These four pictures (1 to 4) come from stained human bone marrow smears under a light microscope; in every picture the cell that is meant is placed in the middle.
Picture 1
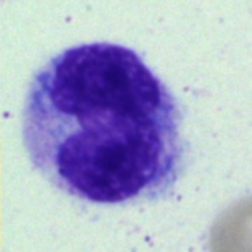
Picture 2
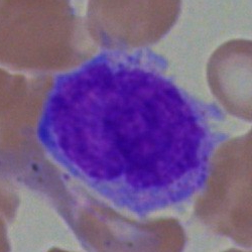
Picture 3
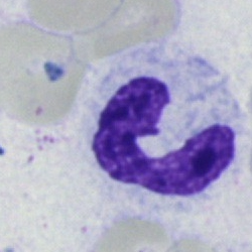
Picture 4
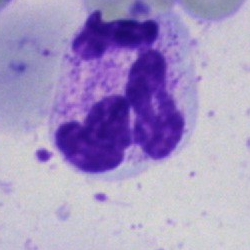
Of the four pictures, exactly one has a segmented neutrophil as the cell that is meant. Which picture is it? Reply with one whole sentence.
The picture with the segmented neutrophil is 4.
